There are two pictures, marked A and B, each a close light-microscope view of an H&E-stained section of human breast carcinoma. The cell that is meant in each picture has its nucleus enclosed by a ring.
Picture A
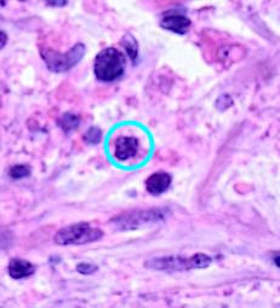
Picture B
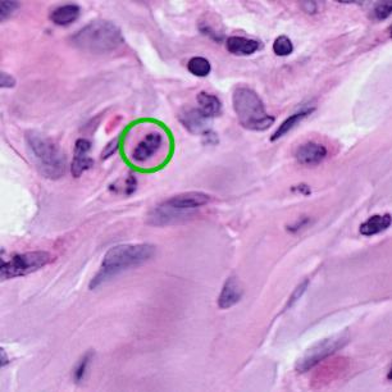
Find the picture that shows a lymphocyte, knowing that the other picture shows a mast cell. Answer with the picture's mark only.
A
